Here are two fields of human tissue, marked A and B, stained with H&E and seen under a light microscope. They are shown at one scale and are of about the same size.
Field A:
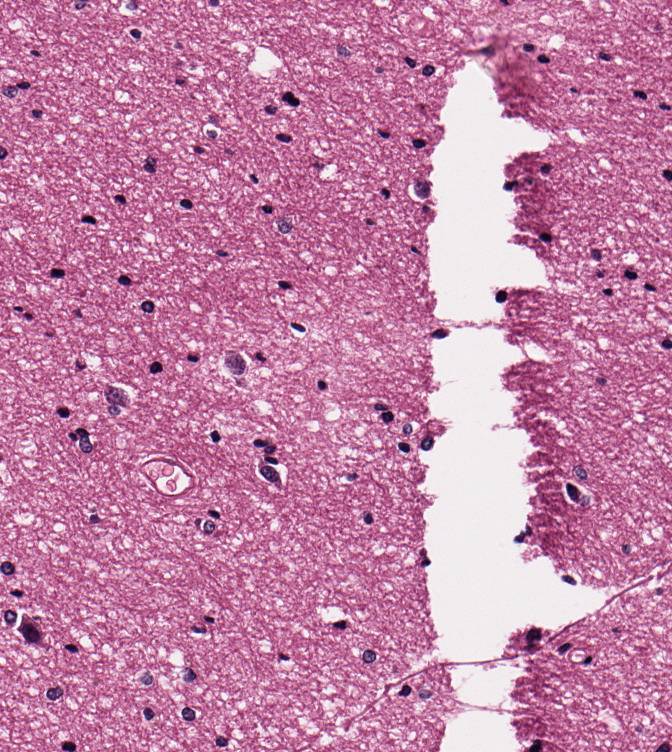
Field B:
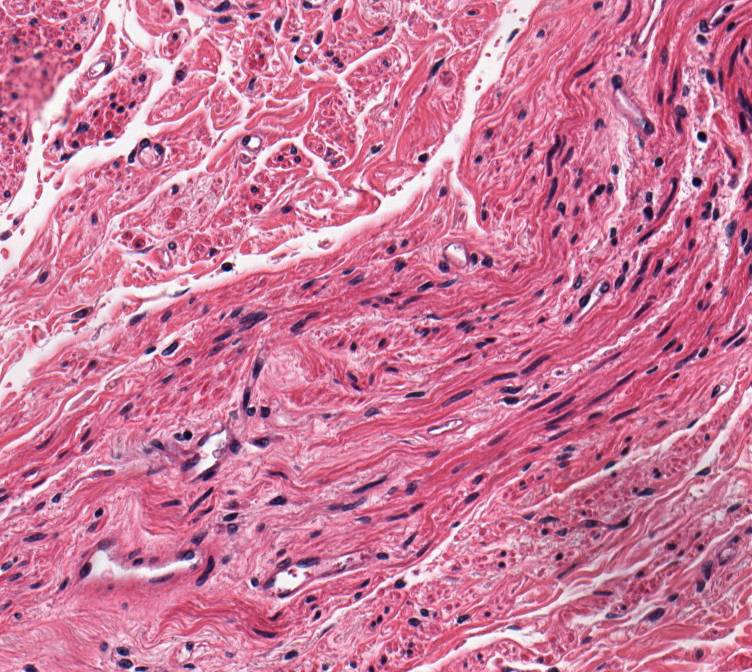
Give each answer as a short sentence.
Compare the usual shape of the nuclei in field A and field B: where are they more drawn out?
Longer, more slender nuclei lie in field B.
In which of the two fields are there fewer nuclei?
Field A holds fewer nuclei than field B.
